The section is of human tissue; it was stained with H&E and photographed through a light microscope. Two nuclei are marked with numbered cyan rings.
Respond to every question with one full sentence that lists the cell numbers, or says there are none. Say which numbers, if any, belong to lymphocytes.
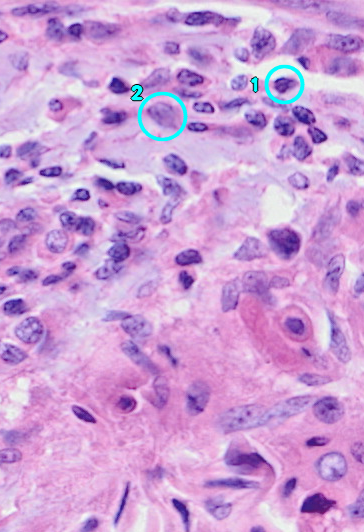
Cell 1 is a lymphocyte, and it is the only one.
